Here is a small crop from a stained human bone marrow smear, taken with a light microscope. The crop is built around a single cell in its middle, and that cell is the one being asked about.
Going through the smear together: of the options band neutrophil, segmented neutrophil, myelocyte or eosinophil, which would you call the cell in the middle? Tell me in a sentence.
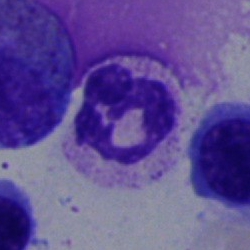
The crop shows a segmented neutrophil in its centre.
